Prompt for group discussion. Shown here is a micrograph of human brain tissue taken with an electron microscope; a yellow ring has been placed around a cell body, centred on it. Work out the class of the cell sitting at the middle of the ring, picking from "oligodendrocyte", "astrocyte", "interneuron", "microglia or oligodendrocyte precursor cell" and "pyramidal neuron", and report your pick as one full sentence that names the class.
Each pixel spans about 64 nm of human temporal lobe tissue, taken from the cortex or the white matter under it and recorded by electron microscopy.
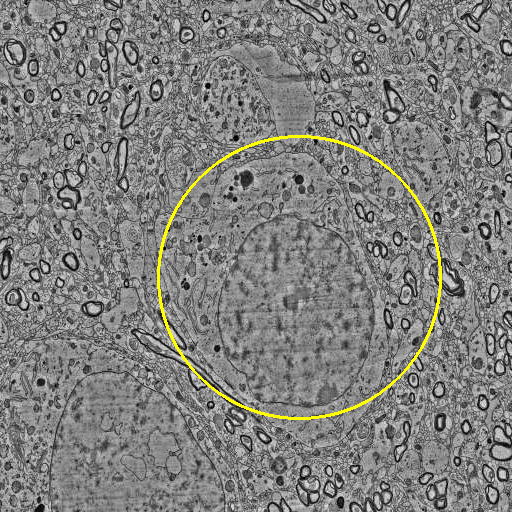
The cell sitting at the middle of the yellow ring is an interneuron.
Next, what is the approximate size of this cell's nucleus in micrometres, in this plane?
The nucleus works out at approximately 12 by 10 micrometres in this plane.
